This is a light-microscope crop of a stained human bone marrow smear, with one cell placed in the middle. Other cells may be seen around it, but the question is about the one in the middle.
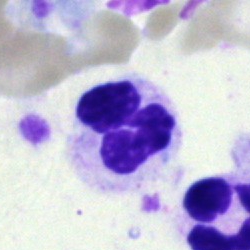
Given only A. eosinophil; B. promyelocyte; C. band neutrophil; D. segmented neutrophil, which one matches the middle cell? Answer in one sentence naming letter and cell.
The cell in the centre of the crop is a segmented neutrophil, so option D is the correct one.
